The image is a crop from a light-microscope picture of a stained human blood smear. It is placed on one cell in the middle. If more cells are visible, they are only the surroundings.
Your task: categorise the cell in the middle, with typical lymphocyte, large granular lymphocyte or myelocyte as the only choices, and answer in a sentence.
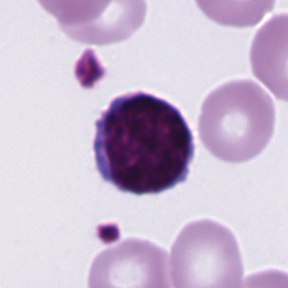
The crop's centre is taken up by a typical lymphocyte.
